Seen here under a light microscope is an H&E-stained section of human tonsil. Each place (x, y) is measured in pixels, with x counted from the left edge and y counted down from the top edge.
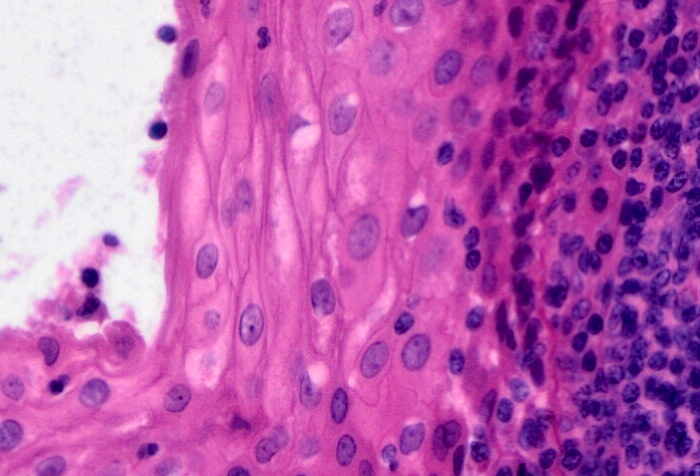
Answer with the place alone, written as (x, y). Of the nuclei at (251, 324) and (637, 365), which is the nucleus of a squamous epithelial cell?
(251, 324)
